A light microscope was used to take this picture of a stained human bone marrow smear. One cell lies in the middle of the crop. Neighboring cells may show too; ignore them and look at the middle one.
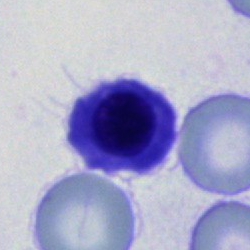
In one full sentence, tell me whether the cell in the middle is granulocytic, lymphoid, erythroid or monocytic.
The central cell of this crop is a member of the erythroid line of development.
